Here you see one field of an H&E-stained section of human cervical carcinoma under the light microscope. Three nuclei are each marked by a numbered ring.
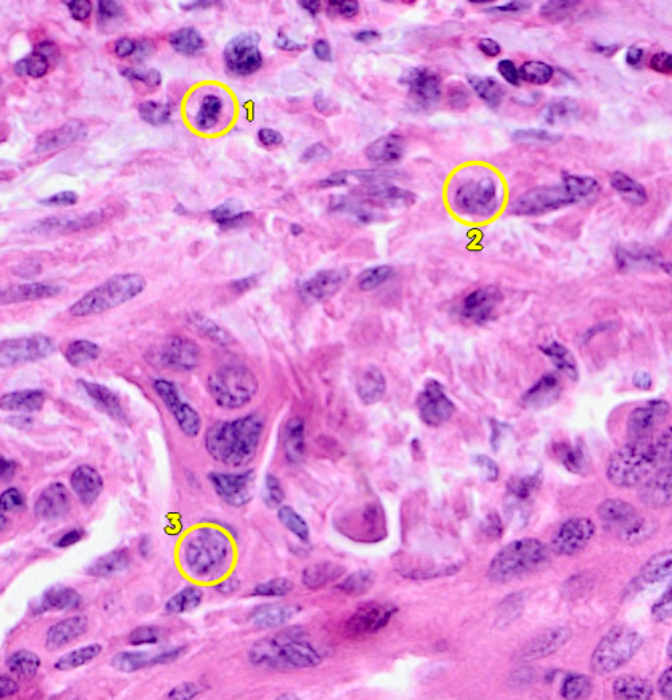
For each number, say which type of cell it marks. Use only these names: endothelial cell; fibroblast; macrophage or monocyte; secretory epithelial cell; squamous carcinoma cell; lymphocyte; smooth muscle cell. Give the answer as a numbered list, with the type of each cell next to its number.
1. lymphocyte
2. macrophage or monocyte
3. squamous carcinoma cell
